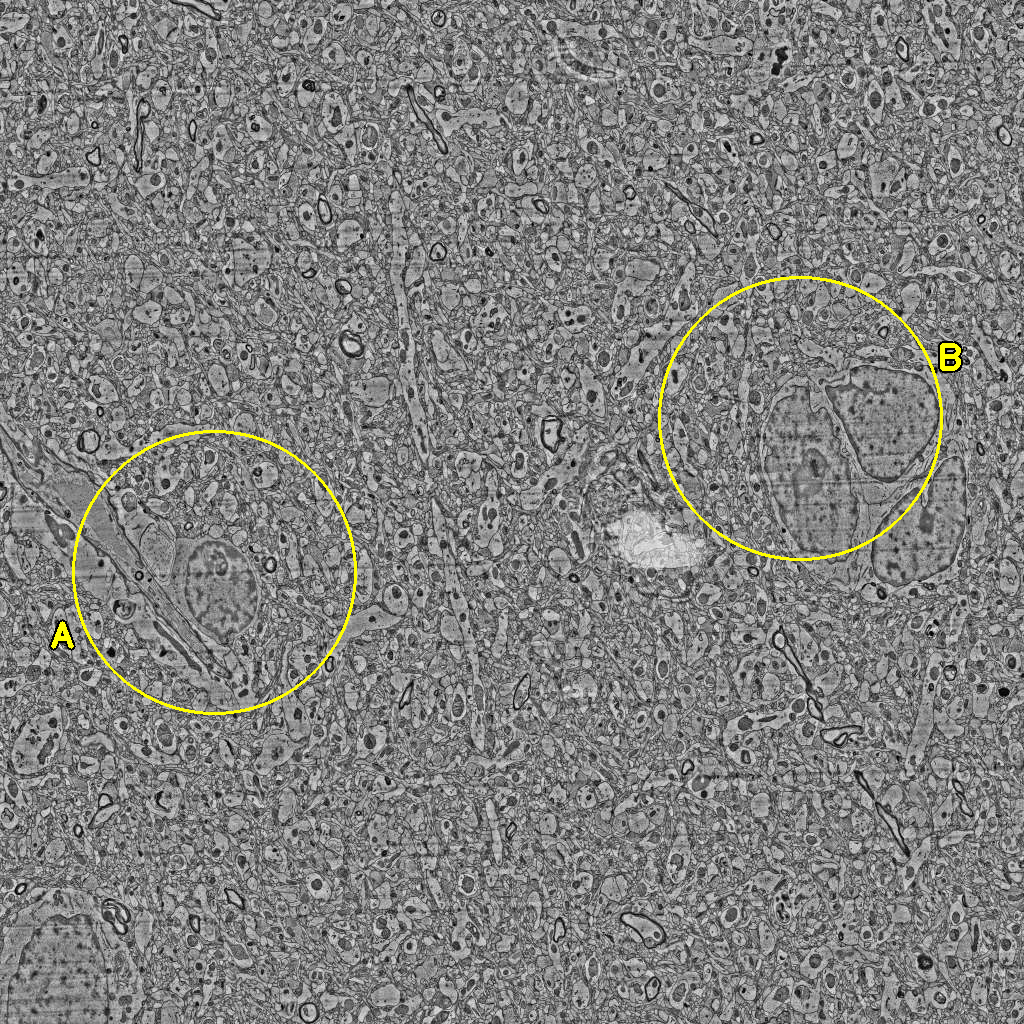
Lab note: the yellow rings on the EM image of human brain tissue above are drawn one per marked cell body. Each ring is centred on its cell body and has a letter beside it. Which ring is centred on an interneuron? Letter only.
B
